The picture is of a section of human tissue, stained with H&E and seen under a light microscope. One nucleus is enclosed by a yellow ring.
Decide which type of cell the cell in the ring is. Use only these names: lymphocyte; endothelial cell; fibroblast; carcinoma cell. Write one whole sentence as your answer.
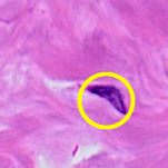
This is a fibroblast.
